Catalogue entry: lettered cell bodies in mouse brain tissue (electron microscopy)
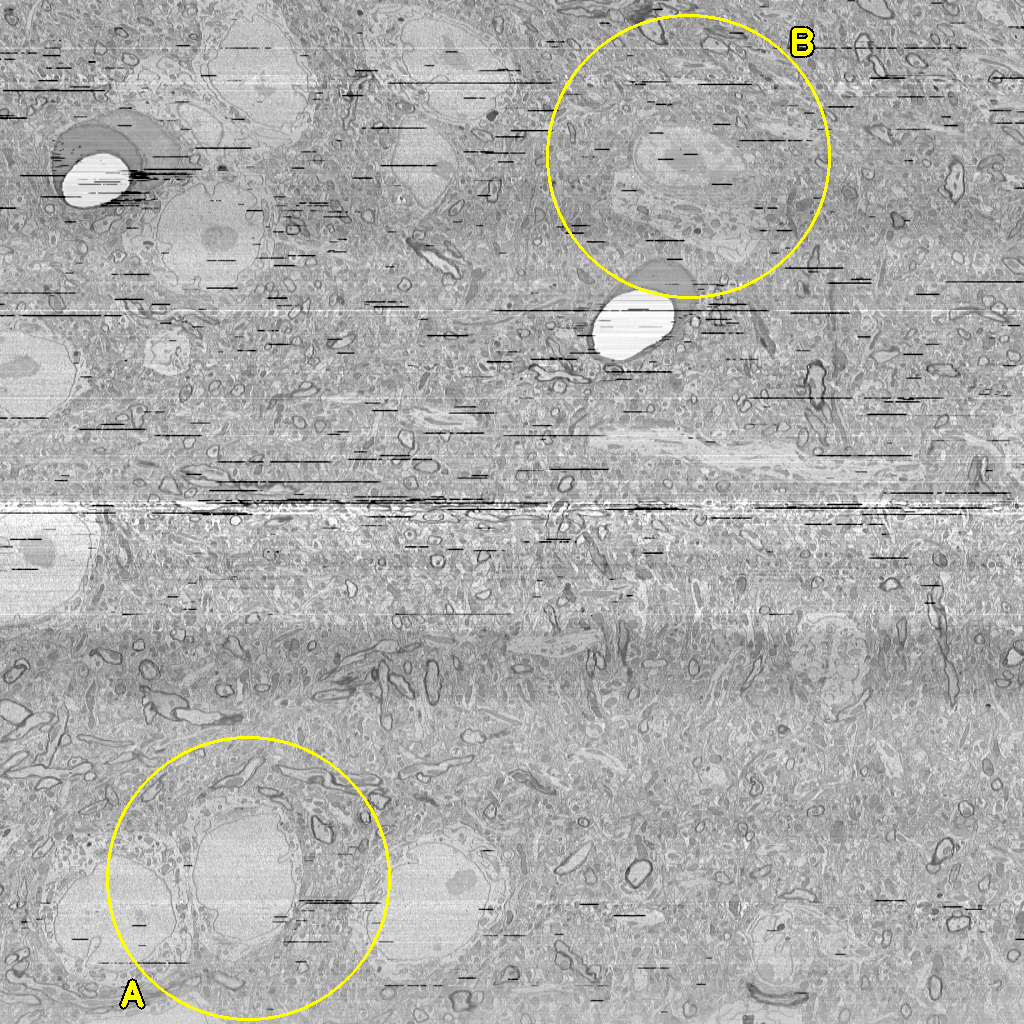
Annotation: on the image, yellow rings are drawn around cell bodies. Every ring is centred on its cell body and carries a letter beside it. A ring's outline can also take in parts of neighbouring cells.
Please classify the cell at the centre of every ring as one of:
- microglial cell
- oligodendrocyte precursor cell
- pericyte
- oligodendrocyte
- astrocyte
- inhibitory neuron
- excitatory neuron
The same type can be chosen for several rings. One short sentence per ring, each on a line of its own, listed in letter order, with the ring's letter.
Ring A is classified as an excitatory neuron.
Ring B is classified as an oligodendrocyte.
